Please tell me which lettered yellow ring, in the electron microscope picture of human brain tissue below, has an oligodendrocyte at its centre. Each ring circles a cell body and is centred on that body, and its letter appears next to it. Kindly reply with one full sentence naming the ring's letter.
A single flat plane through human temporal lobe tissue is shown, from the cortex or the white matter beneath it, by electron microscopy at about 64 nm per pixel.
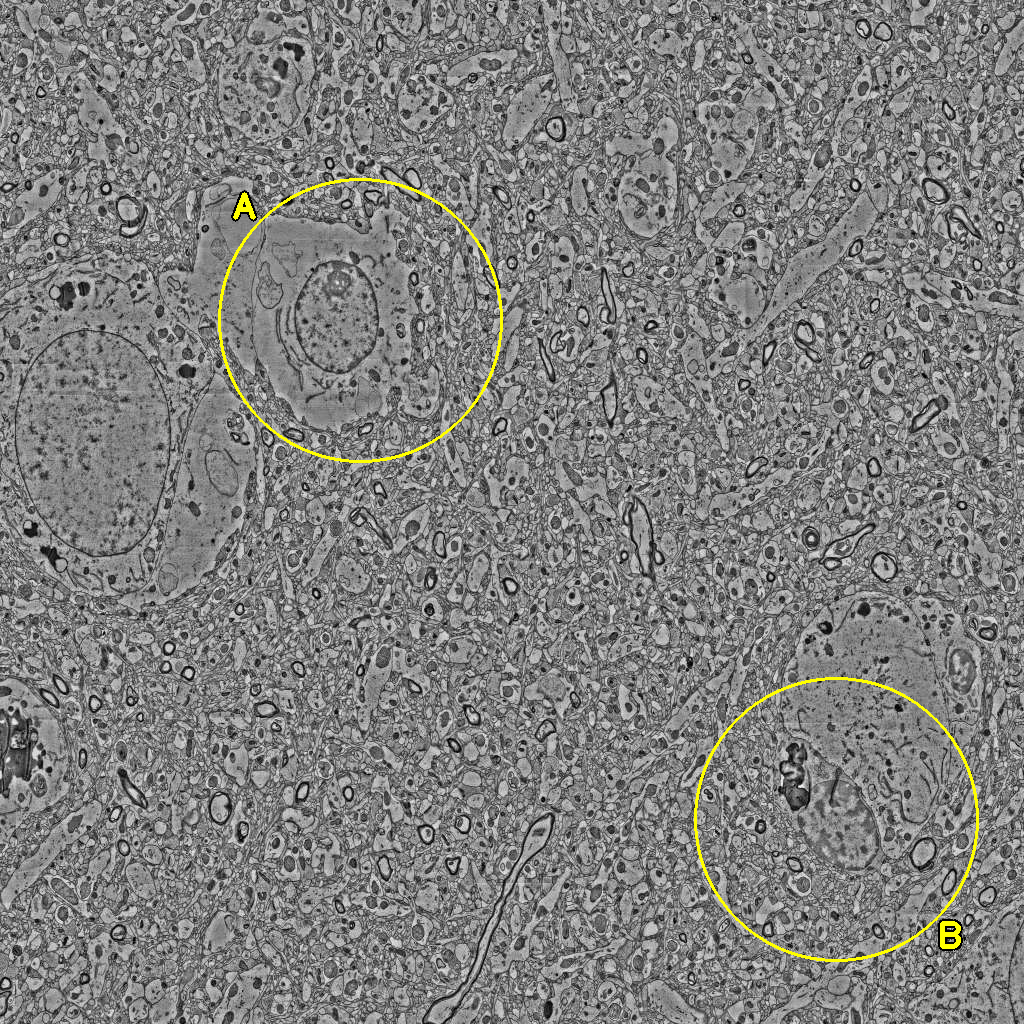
Ring B has the cell asked for at its centre.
